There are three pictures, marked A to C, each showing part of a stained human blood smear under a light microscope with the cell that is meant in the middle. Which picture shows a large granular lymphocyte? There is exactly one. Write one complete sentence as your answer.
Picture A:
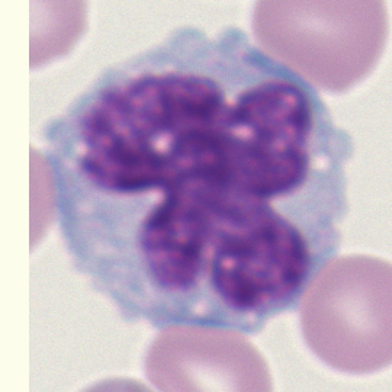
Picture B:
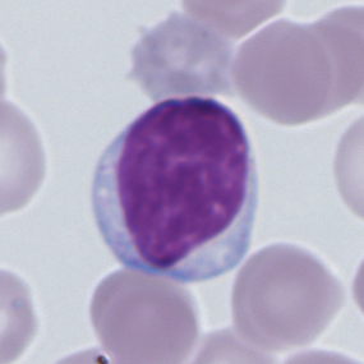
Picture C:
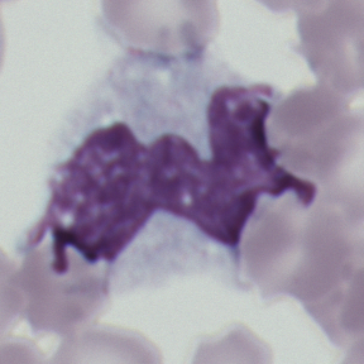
It is picture B that shows the large granular lymphocyte.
